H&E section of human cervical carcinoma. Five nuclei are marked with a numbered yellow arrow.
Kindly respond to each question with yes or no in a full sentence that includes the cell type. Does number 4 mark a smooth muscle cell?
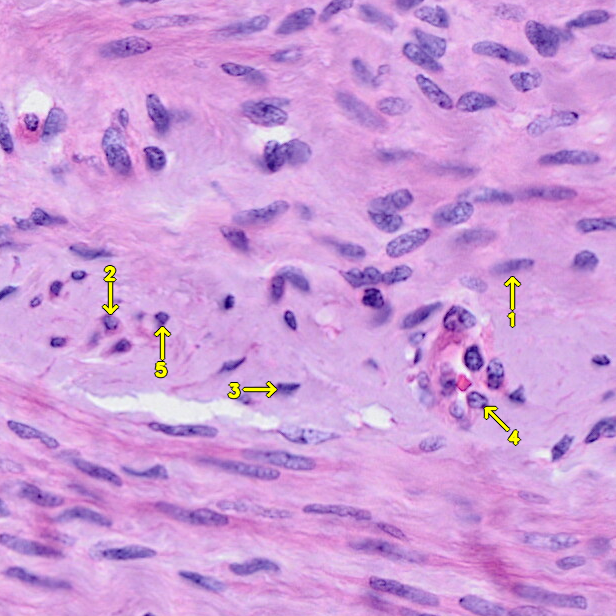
No, the cell indicated by 4 is an endothelial cell instead of a smooth muscle cell.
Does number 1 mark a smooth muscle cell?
No, the cell identified by number 1 is a fibroblast, not a smooth muscle cell.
